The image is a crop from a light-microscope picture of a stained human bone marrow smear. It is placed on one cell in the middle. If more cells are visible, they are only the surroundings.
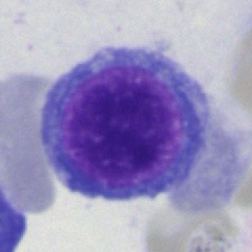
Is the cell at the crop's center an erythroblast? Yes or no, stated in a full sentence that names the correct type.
Yes, the middle cell in this crop is an erythroblast.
